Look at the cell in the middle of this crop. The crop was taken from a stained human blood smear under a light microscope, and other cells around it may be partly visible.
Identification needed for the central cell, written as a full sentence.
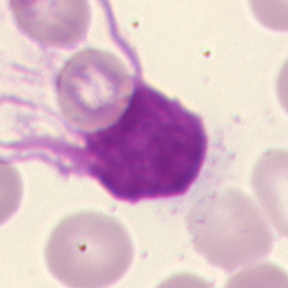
The cell in the middle of the field of view is a smudge cell.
